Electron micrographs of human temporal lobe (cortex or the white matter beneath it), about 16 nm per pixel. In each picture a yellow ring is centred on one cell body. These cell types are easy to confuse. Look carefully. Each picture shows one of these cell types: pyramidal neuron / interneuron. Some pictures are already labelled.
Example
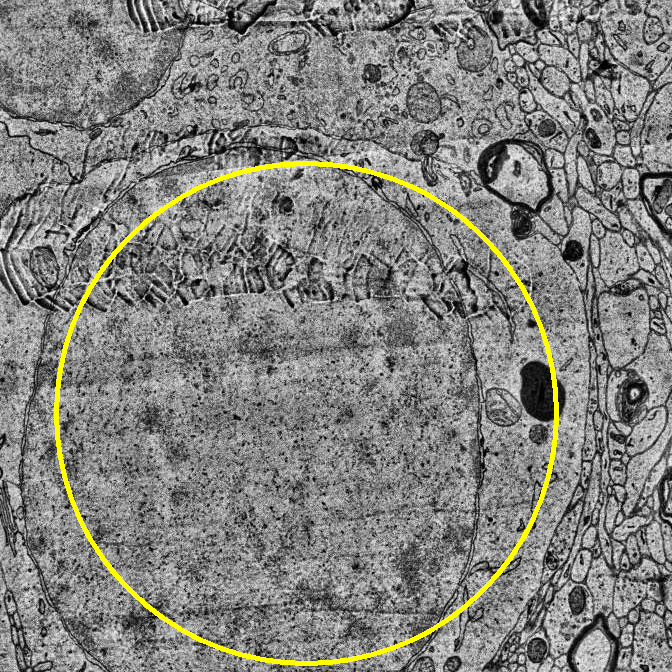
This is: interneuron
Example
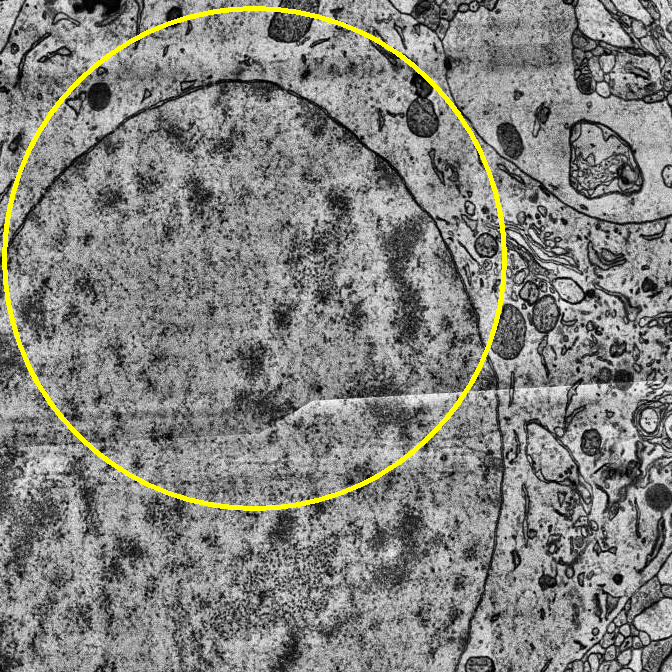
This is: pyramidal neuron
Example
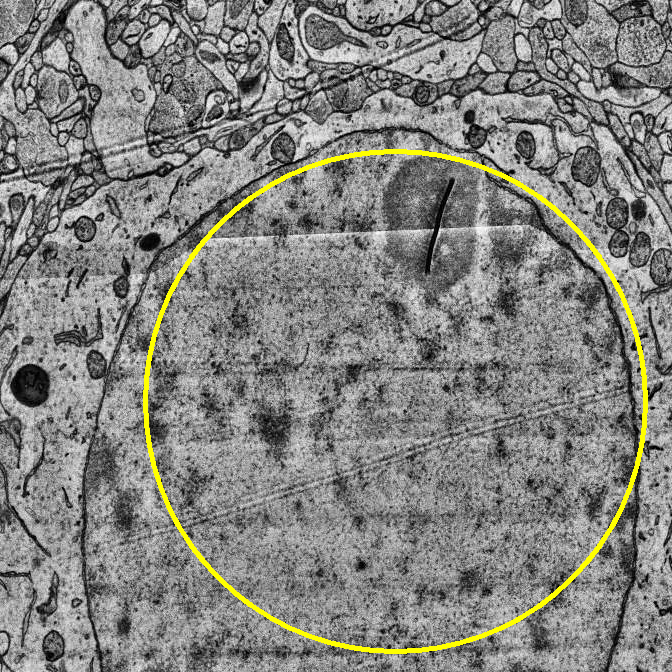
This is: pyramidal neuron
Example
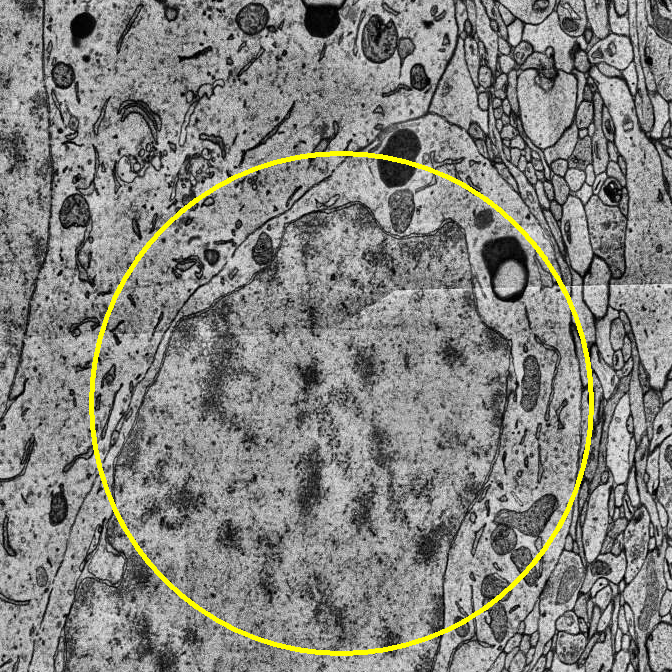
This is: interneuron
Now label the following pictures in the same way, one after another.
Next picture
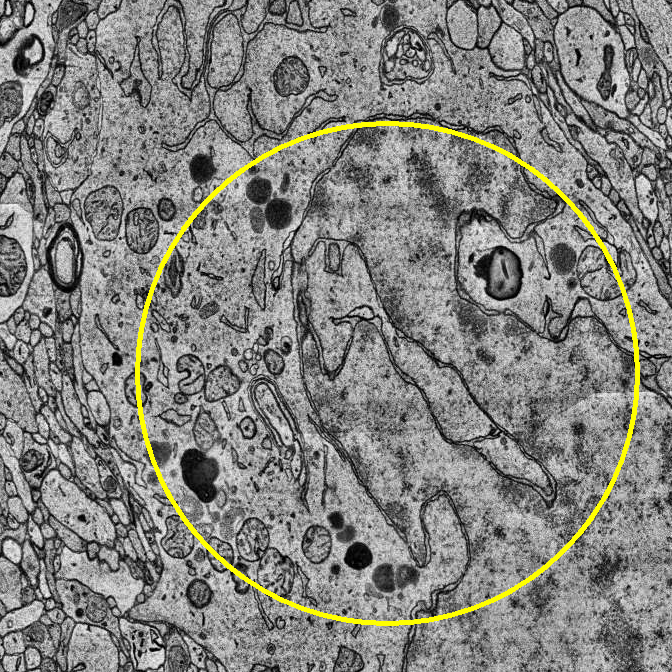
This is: interneuron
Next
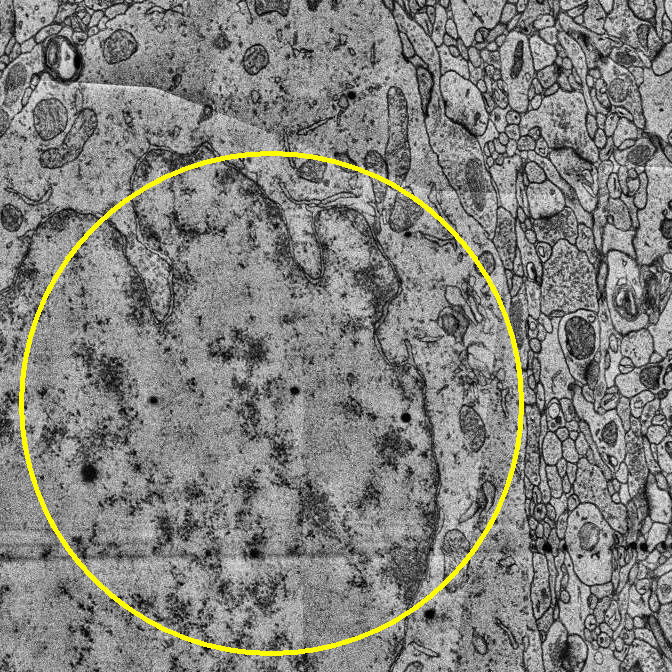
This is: interneuron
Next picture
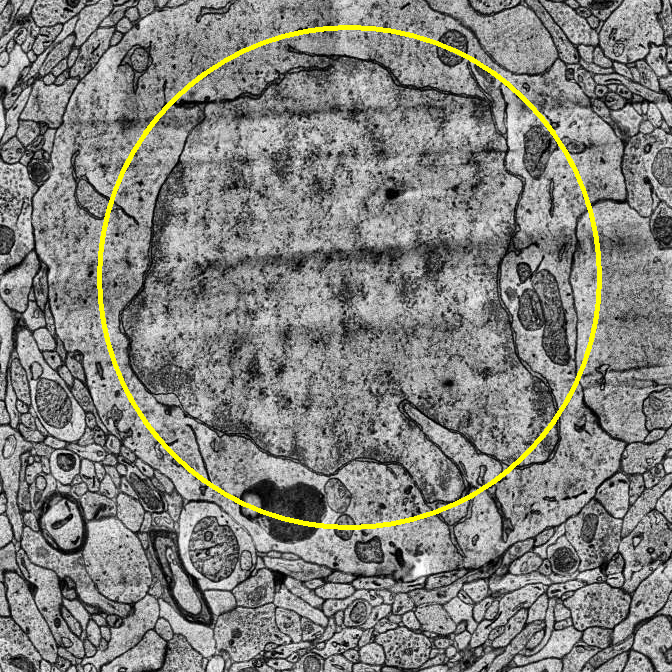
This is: interneuron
